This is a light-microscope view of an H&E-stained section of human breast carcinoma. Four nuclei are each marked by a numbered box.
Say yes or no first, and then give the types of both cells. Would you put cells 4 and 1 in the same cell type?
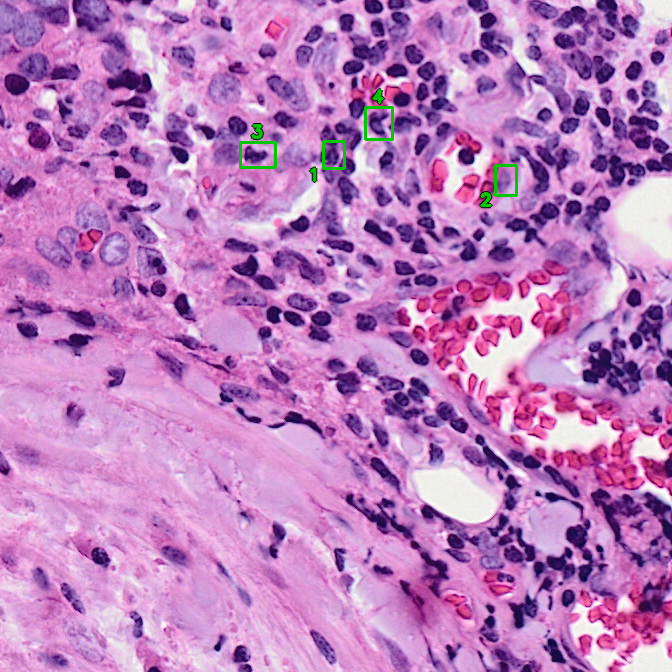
Yes, both are lymphocytes.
